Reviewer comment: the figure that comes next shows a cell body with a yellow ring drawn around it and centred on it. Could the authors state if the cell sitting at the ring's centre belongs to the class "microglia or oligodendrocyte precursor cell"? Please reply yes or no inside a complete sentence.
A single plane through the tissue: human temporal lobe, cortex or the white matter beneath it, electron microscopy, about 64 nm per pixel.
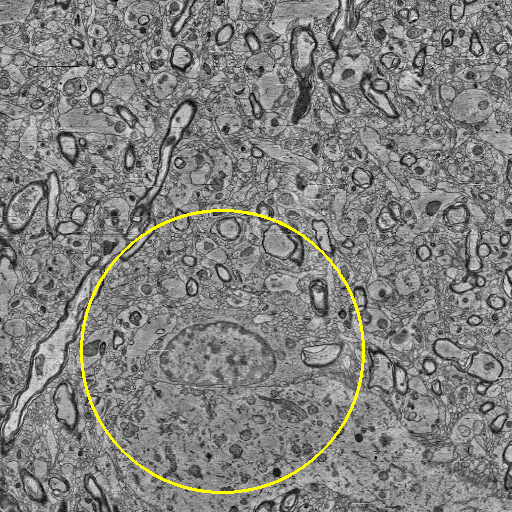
No, in the figure, the cell at the ring's centre belongs to a different class.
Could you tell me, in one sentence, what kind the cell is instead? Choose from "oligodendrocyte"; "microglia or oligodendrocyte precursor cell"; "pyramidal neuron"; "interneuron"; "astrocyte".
The cell circled by the yellow ring is an oligodendrocyte.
